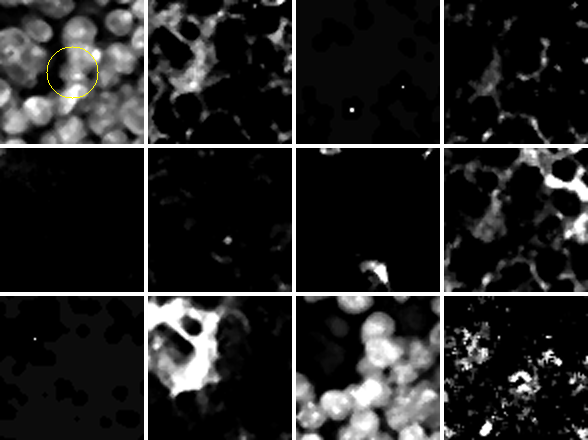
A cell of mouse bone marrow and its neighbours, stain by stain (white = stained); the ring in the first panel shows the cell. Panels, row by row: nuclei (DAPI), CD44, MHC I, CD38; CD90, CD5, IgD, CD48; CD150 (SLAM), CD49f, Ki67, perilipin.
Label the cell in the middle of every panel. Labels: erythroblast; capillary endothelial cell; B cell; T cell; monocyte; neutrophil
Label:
erythroblast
